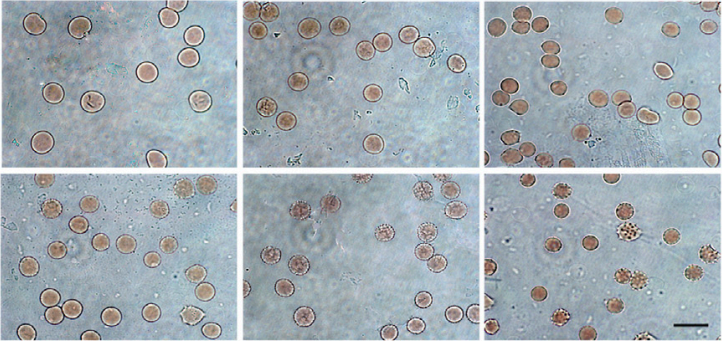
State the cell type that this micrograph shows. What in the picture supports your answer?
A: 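Erythrocyte. Small round cells of uniform size without nuclei. Cells lie singly or touching, not in a tissue.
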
